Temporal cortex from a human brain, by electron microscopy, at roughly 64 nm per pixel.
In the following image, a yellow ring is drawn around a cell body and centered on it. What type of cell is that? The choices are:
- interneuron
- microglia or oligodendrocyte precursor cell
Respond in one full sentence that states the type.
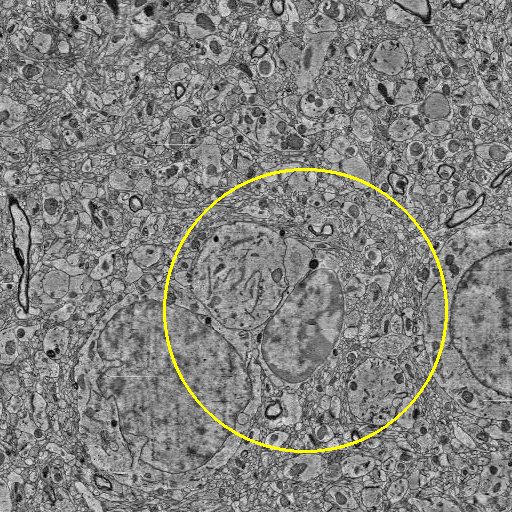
The cell at the center of the yellow ring in the image is a microglial cell or oligodendrocyte precursor cell.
